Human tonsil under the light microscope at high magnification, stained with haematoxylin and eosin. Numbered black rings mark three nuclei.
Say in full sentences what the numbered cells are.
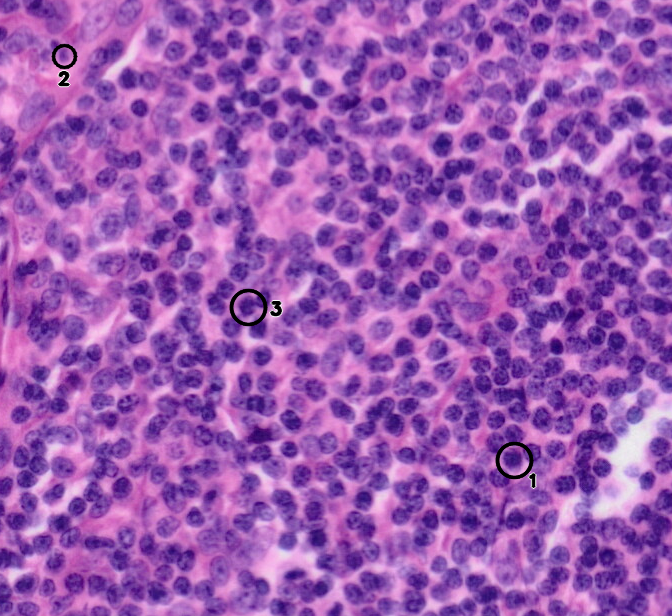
Cell 1 is a small lymphocyte, cell 2 is an endothelial cell and cell 3 is a small lymphocyte.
